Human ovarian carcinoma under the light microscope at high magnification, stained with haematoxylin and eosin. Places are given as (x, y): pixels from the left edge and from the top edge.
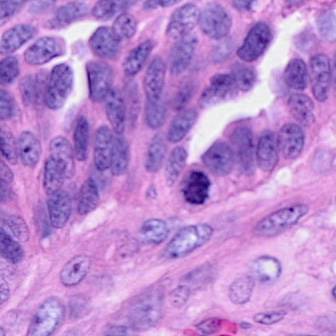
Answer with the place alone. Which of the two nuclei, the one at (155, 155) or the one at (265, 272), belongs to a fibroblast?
(265, 272)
